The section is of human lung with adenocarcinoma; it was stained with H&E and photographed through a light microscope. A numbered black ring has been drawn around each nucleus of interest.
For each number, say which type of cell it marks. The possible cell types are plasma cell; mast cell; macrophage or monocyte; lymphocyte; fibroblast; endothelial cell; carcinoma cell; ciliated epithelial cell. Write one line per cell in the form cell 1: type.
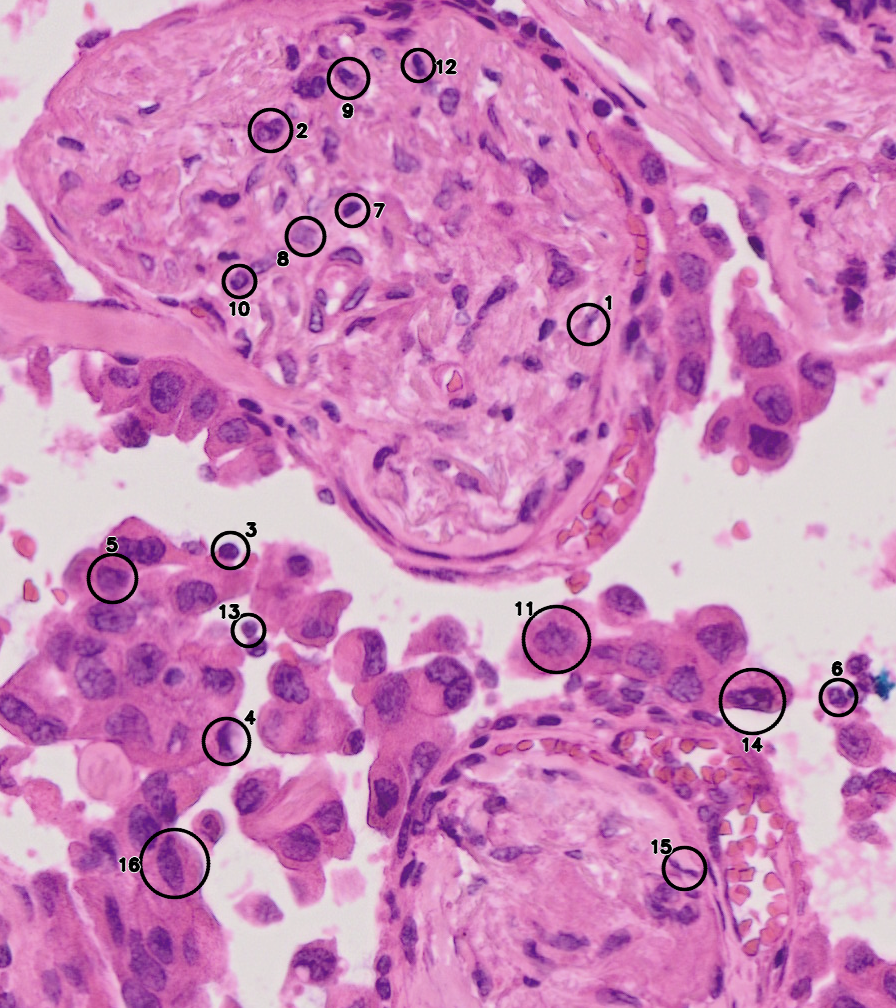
cell 1: fibroblast
cell 2: plasma cell
cell 3: lymphocyte
cell 4: carcinoma cell
cell 5: carcinoma cell
cell 6: lymphocyte
cell 7: lymphocyte
cell 8: mast cell
cell 9: plasma cell
cell 10: plasma cell
cell 11: carcinoma cell
cell 12: lymphocyte
cell 13: lymphocyte
cell 14: carcinoma cell
cell 15: fibroblast
cell 16: carcinoma cell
